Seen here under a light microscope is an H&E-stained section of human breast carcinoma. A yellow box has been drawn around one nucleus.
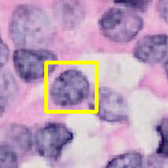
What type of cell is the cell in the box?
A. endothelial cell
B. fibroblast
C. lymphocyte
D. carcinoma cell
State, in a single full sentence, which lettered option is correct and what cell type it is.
That the cell in the box is a carcinoma cell makes option D the correct choice.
